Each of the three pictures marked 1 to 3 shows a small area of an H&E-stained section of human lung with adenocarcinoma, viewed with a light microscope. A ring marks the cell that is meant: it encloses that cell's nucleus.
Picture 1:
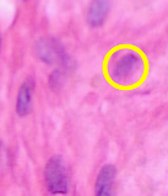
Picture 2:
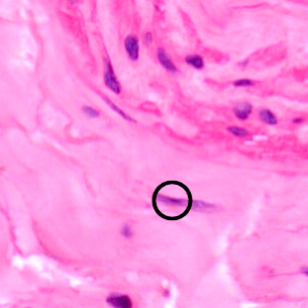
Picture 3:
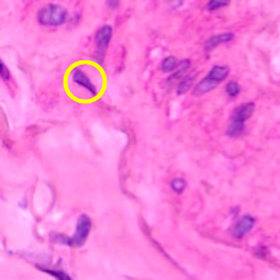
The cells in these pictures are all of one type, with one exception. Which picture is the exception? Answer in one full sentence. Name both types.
The others show “smooth muscle cells or pericytes”, but picture 2 shows a fibroblast.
